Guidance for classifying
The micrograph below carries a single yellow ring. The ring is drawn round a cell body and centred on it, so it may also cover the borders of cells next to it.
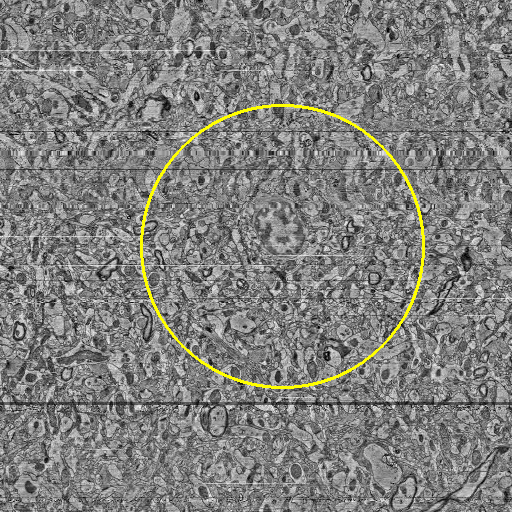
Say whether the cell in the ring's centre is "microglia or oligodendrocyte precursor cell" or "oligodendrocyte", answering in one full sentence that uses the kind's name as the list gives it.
Within the yellow ring, an oligodendrocyte is the cell whose body sits at the centre.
